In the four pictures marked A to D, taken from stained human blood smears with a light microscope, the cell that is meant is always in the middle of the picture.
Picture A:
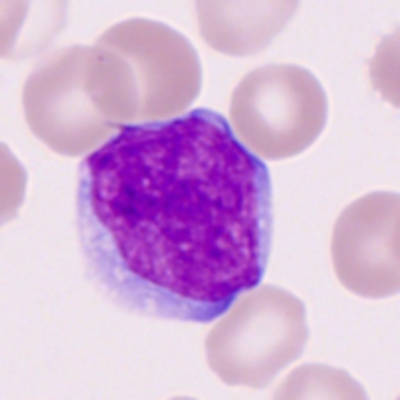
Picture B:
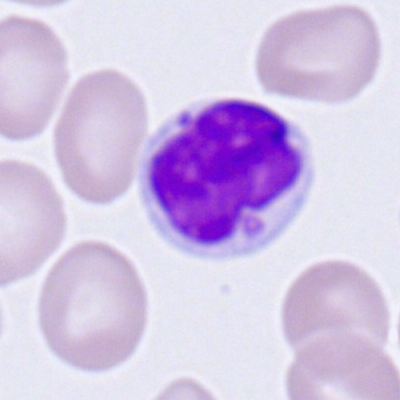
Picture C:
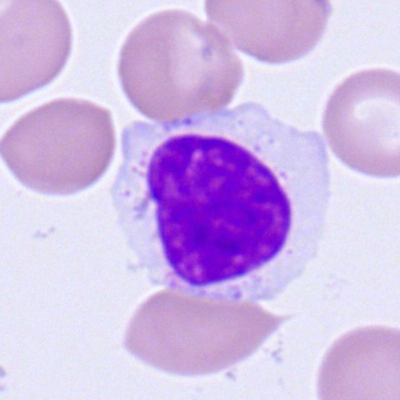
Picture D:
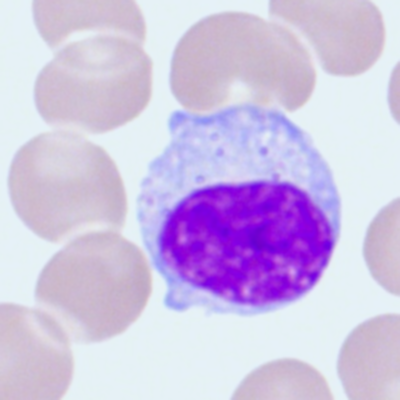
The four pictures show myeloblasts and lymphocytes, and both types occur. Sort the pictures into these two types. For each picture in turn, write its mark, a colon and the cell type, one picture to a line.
A: myeloblast
B: lymphocyte
C: lymphocyte
D: lymphocyte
